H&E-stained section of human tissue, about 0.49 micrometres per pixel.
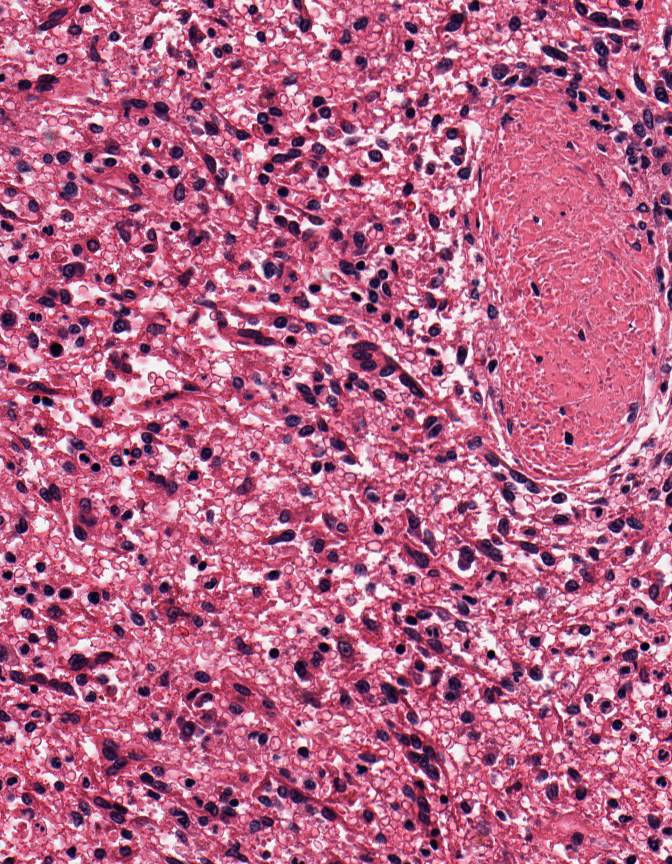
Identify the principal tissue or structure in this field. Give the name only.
red pulp of the spleen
